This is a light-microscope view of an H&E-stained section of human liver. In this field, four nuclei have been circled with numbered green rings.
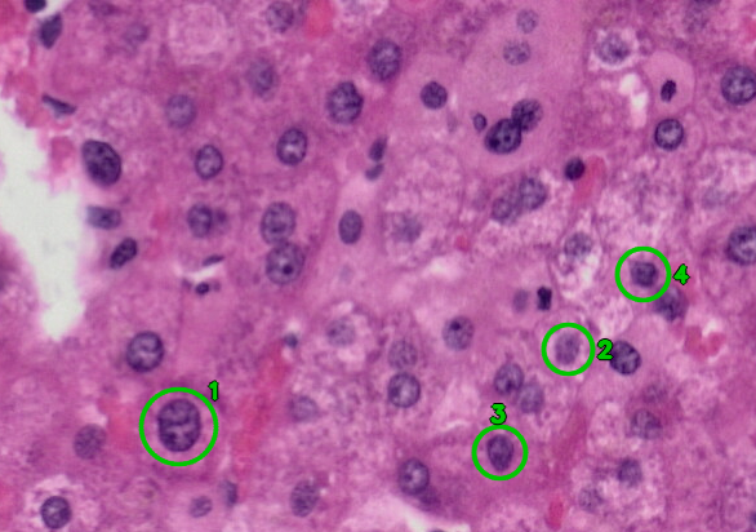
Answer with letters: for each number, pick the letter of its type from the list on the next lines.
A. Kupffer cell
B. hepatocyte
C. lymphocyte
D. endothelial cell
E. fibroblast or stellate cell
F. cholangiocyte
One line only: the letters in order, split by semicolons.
B; B; B; E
